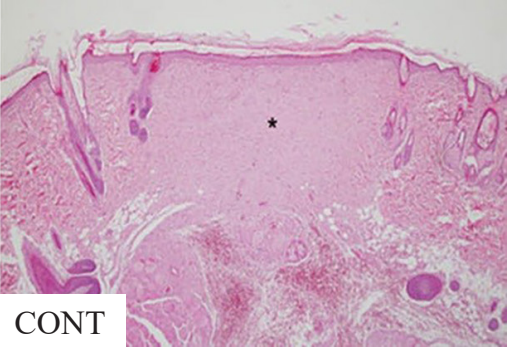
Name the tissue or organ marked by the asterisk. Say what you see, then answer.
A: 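Dermis. The asterisk lies in a pale pink fibrous layer under the surface epithelium. Hair follicles appear in the tissue to either side but not around the asterisk.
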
